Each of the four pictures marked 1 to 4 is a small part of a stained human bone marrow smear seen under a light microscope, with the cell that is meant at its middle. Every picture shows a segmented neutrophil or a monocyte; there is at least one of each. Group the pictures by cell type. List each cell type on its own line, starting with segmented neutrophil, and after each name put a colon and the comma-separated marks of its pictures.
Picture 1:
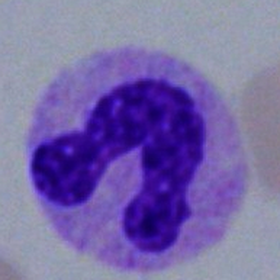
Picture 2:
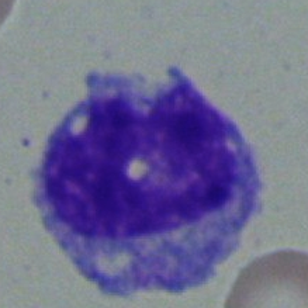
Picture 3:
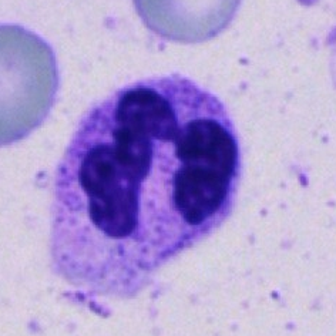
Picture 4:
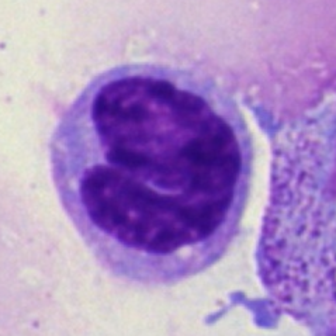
segmented neutrophil: 1, 3
monocyte: 2, 4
